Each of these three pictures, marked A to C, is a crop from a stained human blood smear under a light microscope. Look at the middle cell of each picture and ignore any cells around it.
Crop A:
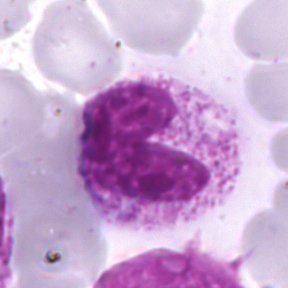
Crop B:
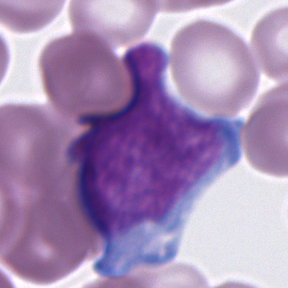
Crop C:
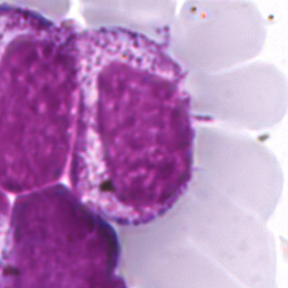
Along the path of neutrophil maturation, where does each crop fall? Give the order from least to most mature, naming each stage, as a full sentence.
From earliest to most mature stage, the crops go crop B (a myeloblast), crop C (a myelocyte) and crop A (a band neutrophil).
